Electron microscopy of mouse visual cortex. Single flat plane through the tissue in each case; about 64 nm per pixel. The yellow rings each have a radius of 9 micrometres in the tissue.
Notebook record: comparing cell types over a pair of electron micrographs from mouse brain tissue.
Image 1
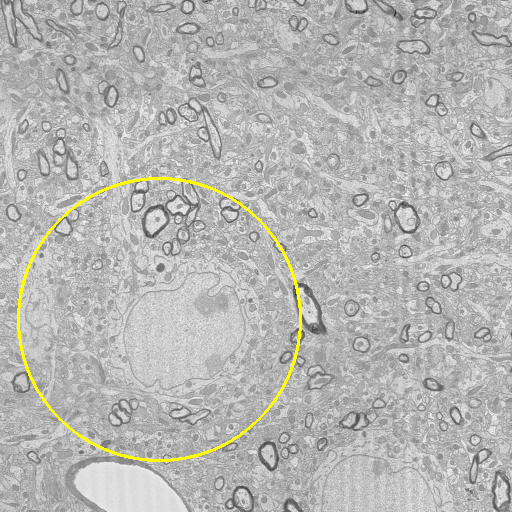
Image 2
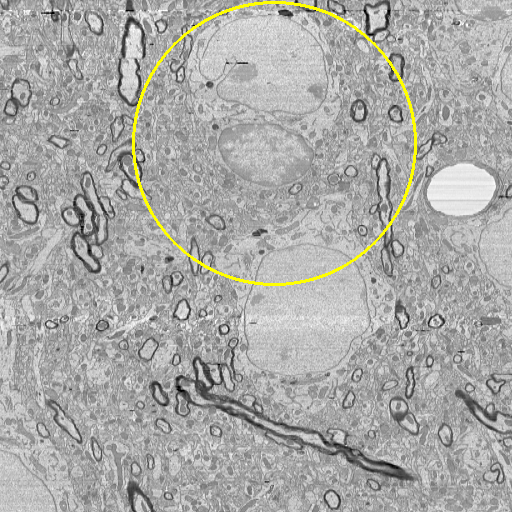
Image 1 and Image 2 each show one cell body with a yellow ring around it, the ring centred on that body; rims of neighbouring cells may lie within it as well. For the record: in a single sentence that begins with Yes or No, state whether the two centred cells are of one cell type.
No, two cell types are found among the centred cells of Image 1 and Image 2.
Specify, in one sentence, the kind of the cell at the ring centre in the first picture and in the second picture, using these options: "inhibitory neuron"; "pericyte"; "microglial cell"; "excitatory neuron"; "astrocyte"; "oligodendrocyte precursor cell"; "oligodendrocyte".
So the first is an excitatory neuron, the second an oligodendrocyte.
